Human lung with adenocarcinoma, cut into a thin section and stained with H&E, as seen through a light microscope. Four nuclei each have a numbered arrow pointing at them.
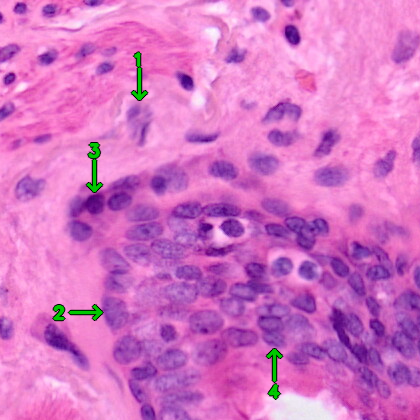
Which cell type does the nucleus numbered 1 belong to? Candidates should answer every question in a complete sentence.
The cell to which the number 1 is assigned is a fibroblast.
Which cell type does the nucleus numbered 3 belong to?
Regarding cell 3, this one is a plasma cell.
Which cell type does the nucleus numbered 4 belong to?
Cell 4 in the field of view is a ciliated epithelial cell.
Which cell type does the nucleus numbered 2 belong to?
Here the cell numbered 2 is a ciliated epithelial cell.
